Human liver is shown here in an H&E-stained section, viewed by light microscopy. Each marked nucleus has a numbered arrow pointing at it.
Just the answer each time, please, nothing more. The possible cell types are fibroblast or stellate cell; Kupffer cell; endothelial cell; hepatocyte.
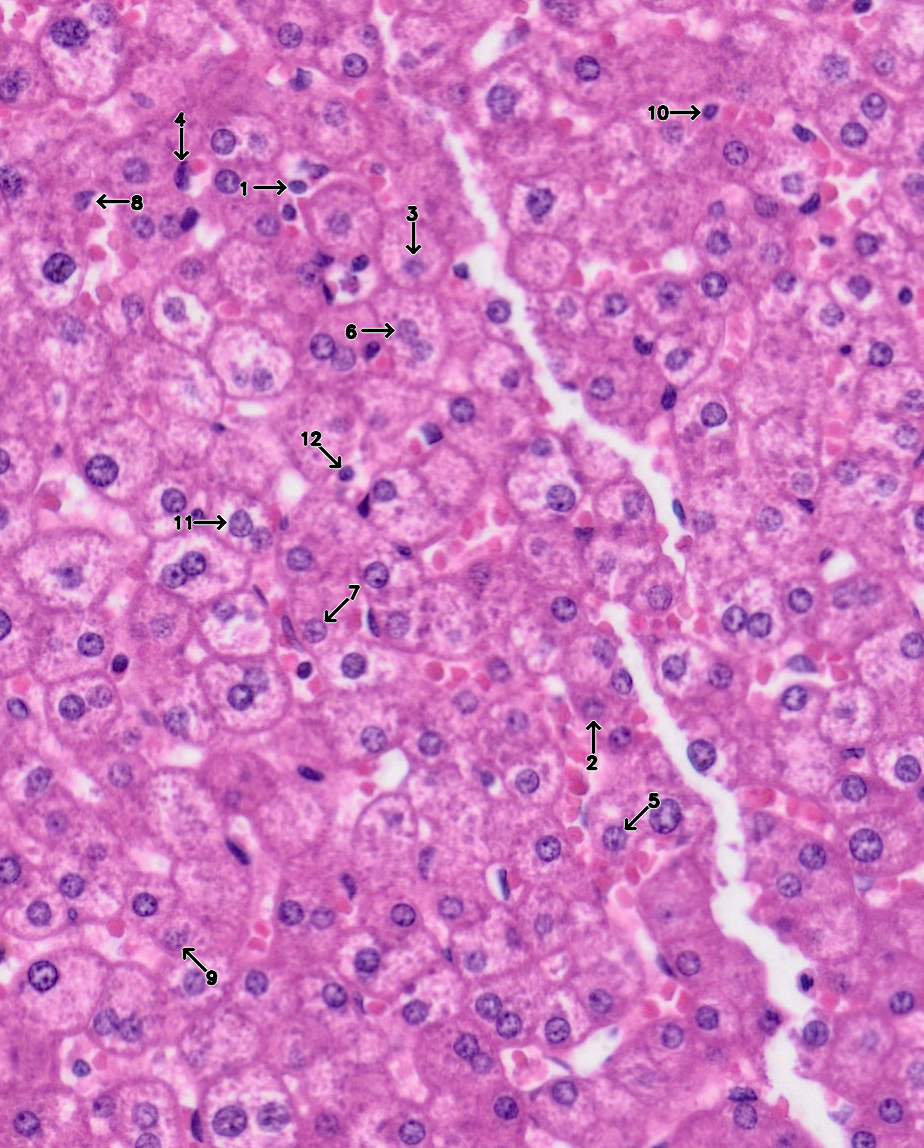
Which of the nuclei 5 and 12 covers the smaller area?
12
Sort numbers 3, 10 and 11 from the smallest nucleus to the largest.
10, 3, 11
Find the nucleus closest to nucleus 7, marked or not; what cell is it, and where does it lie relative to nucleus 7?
a Kupffer cell, to the left of nucleus 7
